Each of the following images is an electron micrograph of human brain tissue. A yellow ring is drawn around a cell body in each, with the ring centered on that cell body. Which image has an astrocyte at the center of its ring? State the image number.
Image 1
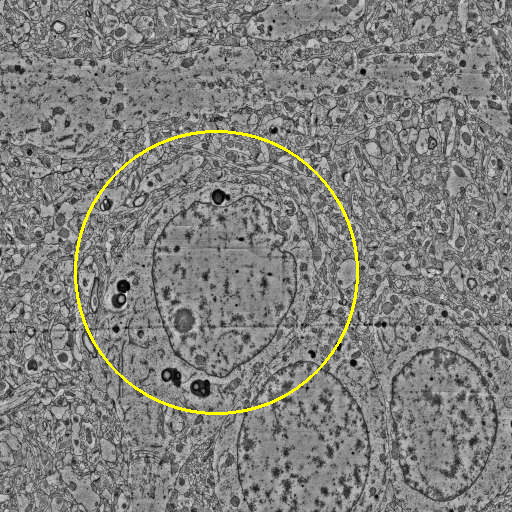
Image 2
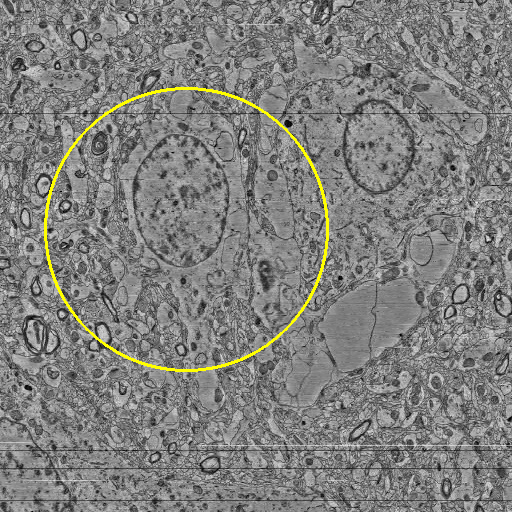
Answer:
2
